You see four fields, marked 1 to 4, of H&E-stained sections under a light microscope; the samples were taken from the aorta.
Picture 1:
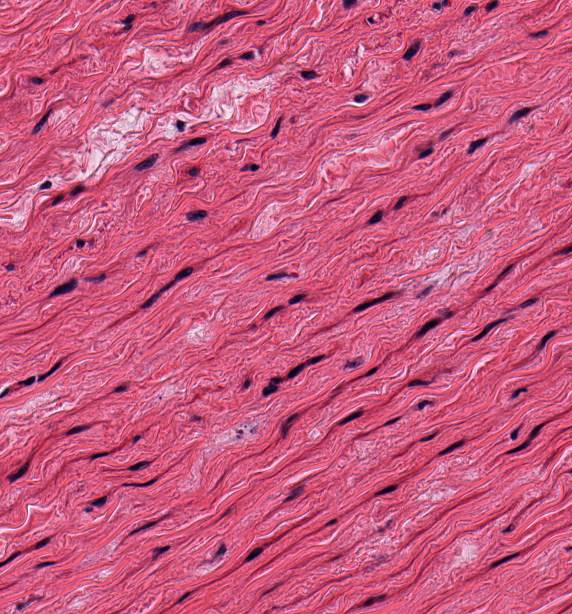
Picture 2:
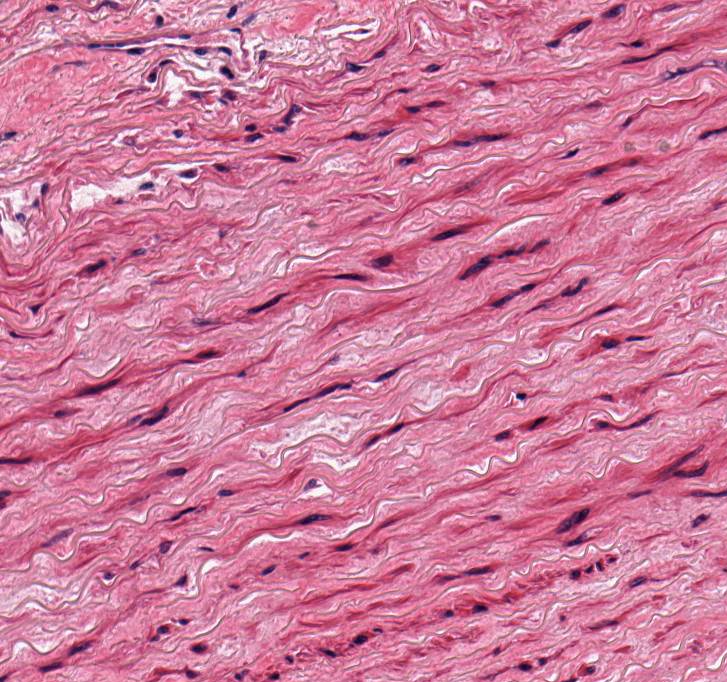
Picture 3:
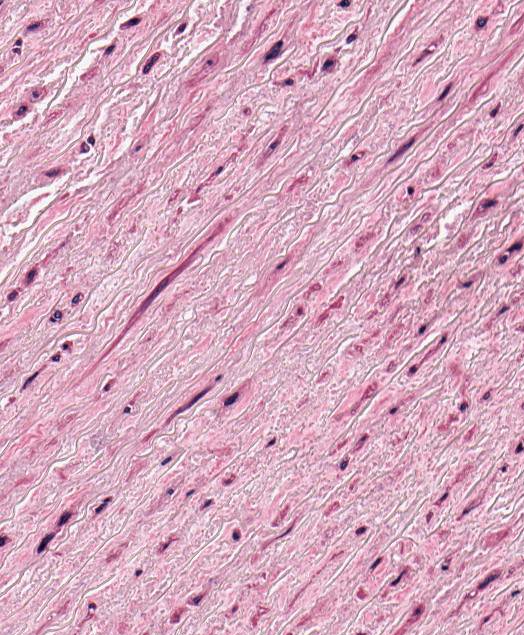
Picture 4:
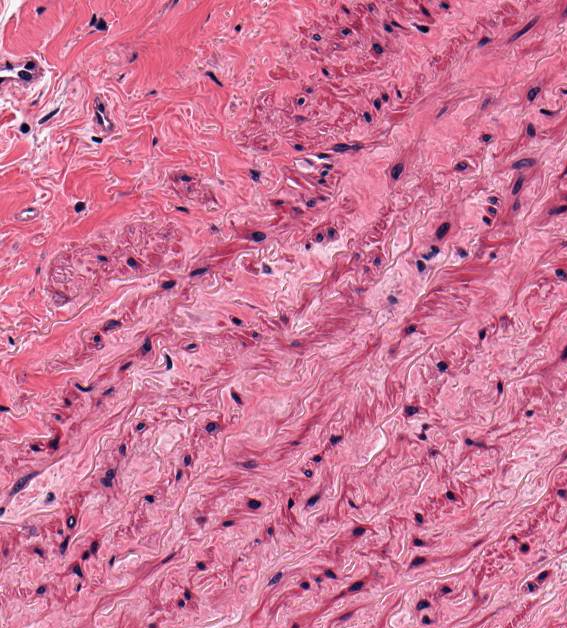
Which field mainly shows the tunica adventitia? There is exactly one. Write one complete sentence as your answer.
It is picture 4 that mainly shows the tunica adventitia.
